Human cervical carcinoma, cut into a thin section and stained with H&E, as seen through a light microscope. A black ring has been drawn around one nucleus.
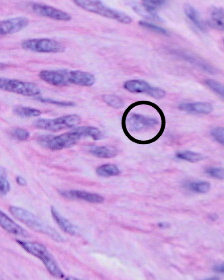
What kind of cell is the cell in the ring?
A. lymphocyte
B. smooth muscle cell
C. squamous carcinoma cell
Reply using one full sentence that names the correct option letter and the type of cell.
Hey, it is option B: the cell in the ring is a smooth muscle cell.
